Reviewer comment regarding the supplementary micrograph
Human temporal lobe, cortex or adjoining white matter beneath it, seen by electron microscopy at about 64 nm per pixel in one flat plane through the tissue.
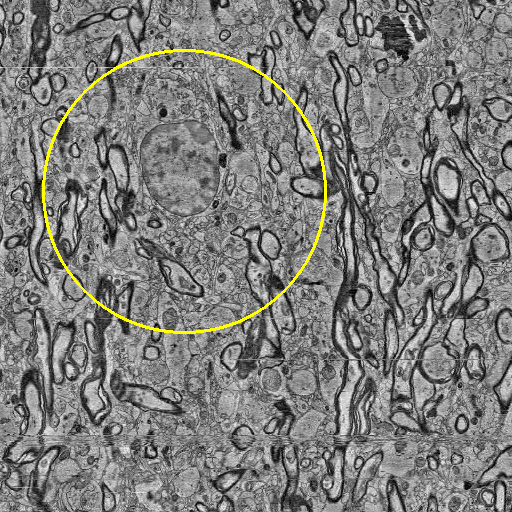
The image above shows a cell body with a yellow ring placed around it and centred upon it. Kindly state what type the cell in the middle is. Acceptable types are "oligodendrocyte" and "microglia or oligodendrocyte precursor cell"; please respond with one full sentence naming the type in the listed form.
In the image above, the cell on which the yellow ring is centred is a microglial cell or oligodendrocyte precursor cell.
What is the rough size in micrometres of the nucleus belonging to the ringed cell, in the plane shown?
The nucleus appears about 6 micrometres across in this plane.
